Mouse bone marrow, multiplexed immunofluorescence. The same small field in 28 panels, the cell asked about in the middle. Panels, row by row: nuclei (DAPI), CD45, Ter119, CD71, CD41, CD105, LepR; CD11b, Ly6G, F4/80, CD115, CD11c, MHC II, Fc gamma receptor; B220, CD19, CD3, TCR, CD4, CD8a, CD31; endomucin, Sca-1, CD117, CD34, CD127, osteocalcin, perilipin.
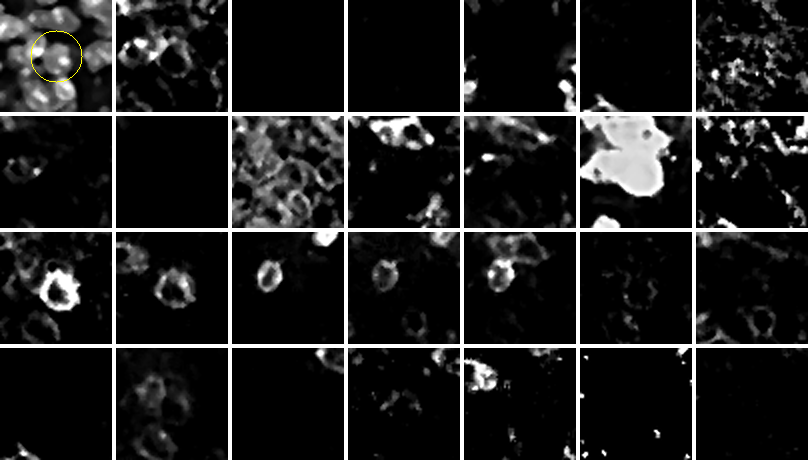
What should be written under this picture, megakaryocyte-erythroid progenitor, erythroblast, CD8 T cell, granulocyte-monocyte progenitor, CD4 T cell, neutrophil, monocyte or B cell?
B cell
